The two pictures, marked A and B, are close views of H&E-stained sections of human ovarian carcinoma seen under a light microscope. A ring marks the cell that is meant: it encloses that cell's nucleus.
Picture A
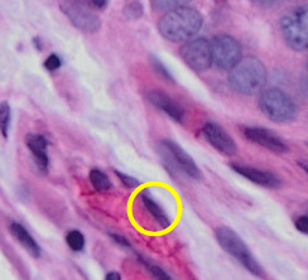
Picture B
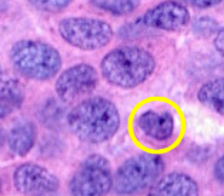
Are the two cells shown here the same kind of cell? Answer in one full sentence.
No. Picture A shows an endothelial cell, but picture B shows a “macrophage or monocyte”.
